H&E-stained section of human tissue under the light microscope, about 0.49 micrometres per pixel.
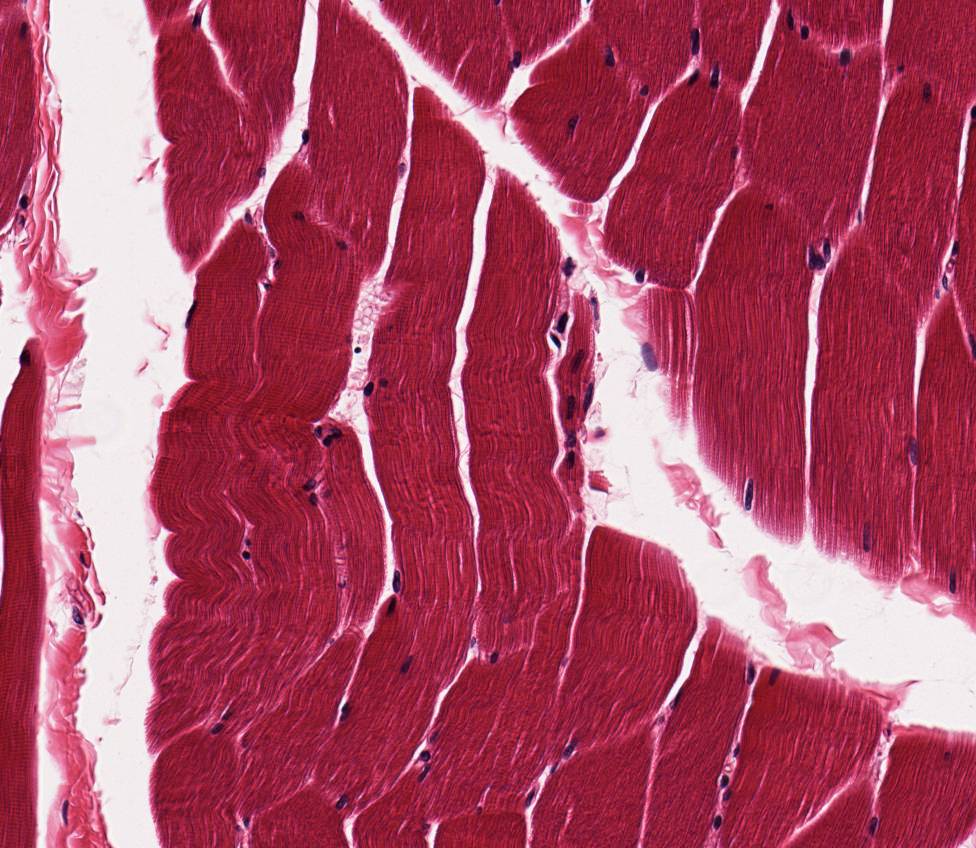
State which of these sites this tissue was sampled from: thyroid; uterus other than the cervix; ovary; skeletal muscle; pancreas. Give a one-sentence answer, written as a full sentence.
This tissue sample was collected from the skeletal muscle.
